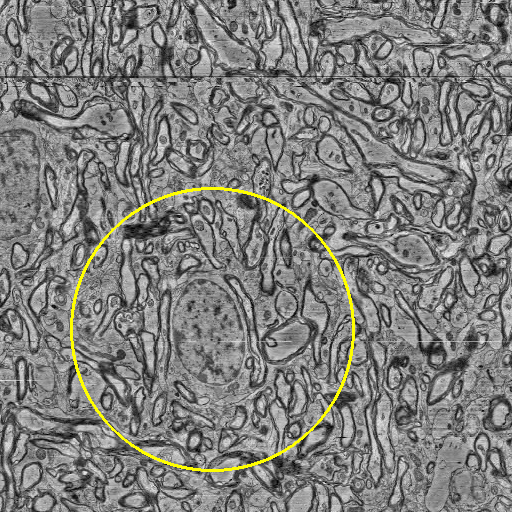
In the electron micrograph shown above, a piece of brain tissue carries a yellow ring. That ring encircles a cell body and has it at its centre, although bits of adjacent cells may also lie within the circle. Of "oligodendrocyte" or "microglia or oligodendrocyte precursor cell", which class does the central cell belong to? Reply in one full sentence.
The cell body at the centre of the yellow ring belongs to a microglial cell or oligodendrocyte precursor cell.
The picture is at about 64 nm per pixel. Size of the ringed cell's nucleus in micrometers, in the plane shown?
In this plane the nucleus spans approximately 7 by 5 micrometers.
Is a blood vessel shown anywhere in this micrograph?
No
